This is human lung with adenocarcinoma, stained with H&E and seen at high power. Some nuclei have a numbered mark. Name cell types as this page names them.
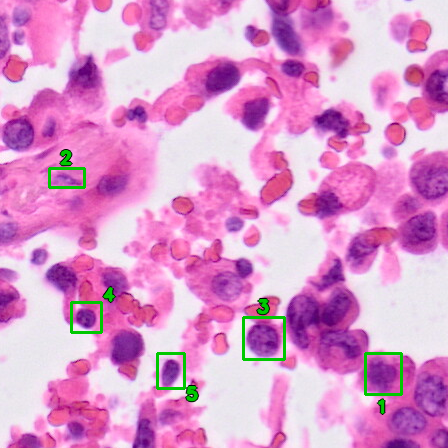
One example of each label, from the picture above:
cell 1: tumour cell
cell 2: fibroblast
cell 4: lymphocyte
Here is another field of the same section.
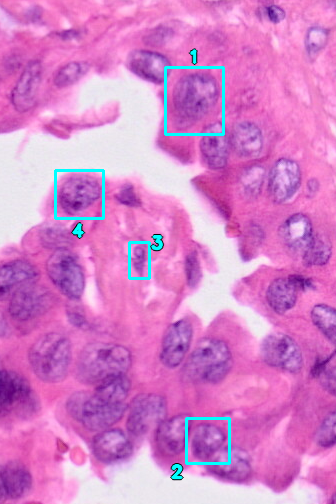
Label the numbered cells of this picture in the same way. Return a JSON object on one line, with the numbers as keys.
{"1": "tumour cell", "2": "tumour cell", "3": "fibroblast", "4": "tumour cell"}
